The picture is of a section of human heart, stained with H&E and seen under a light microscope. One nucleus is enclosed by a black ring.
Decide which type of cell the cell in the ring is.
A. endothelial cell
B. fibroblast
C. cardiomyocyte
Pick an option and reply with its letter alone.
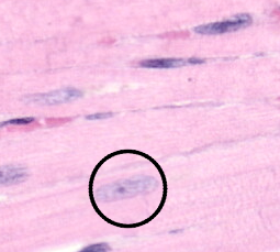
C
